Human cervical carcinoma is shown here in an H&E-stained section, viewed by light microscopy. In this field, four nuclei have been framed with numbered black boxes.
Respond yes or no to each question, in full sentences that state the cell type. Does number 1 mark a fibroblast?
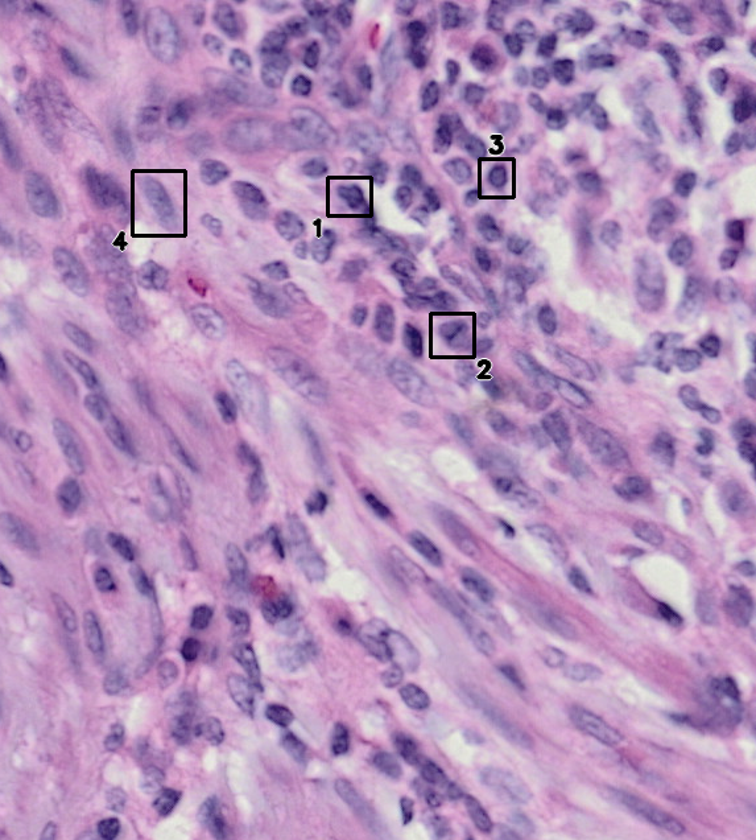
No, cell 1 is correctly identified as a lymphocyte and not as a fibroblast.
